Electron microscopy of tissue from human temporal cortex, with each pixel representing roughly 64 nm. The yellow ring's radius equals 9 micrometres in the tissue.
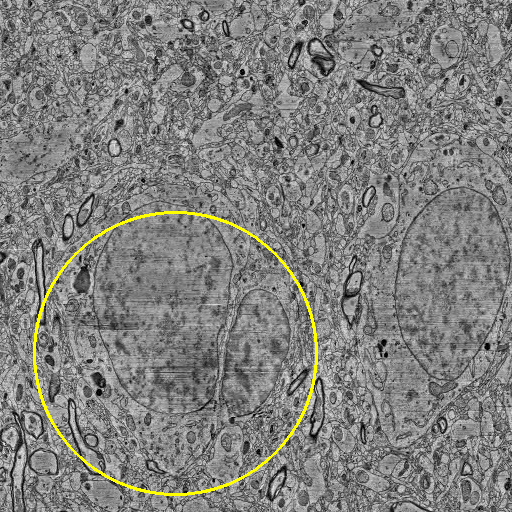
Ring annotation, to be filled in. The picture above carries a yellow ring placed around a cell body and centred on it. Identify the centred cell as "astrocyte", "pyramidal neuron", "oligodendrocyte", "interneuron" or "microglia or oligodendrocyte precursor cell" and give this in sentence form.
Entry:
The cell in the middle of the ring is a pyramidal neuron.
